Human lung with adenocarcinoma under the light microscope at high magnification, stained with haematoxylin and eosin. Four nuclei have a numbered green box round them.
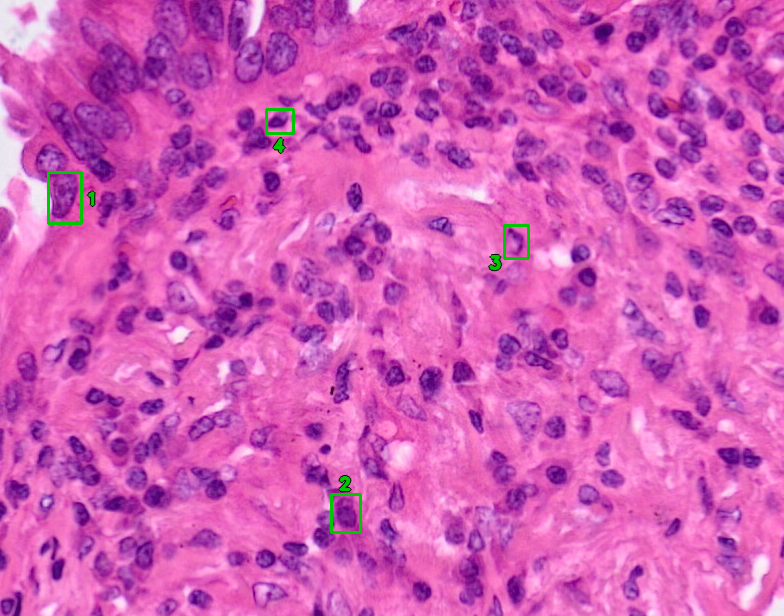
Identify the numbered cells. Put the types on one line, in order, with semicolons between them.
carcinoma cell; plasma cell; macrophage or monocyte; lymphocyte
